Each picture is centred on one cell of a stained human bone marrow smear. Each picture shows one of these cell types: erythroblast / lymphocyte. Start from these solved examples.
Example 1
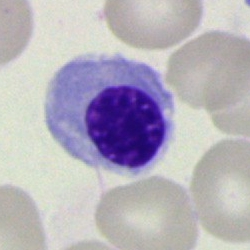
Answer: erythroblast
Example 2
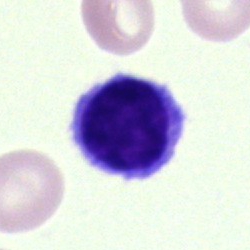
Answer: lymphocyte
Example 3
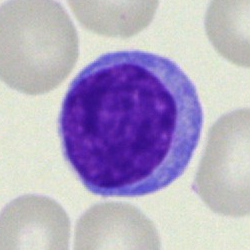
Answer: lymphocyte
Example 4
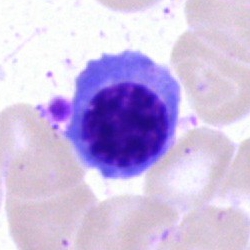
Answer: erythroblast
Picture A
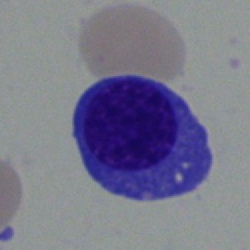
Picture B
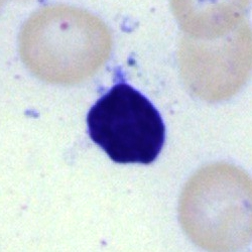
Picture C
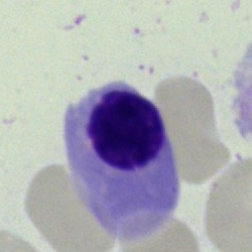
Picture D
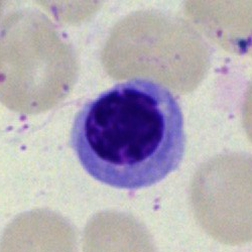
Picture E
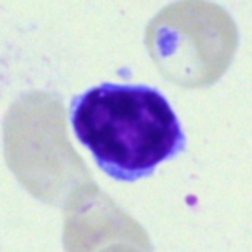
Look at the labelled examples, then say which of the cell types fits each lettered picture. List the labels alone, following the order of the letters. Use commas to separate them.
erythroblast, lymphocyte, erythroblast, erythroblast, lymphocyte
